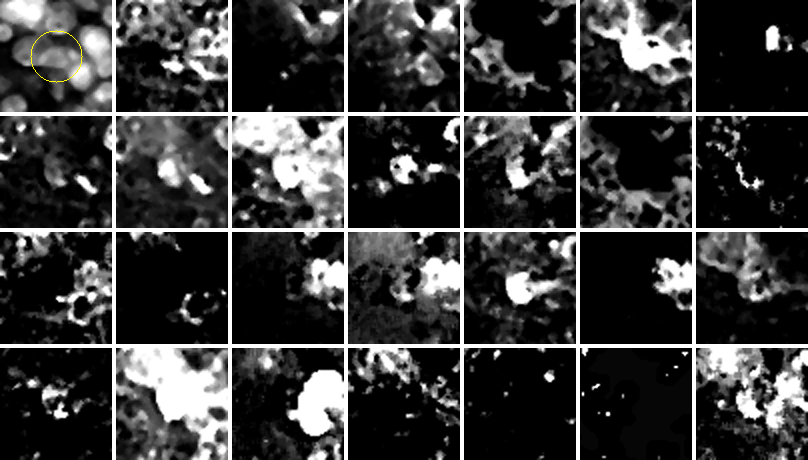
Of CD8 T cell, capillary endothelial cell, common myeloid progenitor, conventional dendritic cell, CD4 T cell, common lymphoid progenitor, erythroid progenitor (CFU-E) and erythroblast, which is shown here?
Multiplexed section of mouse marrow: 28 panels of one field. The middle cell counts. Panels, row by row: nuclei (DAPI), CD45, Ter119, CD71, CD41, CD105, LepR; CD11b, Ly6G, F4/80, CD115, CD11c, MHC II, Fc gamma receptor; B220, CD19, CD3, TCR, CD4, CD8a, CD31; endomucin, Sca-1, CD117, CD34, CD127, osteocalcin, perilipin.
erythroid progenitor (CFU-E)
